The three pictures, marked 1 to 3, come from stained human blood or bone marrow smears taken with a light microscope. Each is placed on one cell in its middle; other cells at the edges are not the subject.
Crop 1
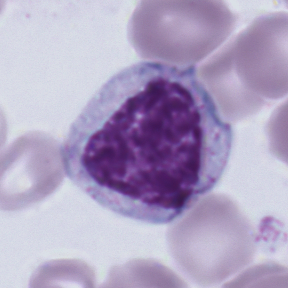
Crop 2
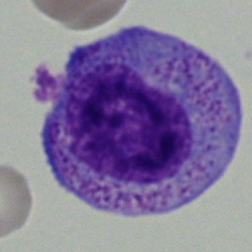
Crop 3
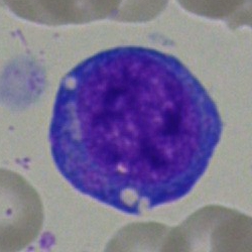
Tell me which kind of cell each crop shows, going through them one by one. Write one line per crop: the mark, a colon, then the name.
1: myelocyte
2: promyelocyte
3: promyelocyte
